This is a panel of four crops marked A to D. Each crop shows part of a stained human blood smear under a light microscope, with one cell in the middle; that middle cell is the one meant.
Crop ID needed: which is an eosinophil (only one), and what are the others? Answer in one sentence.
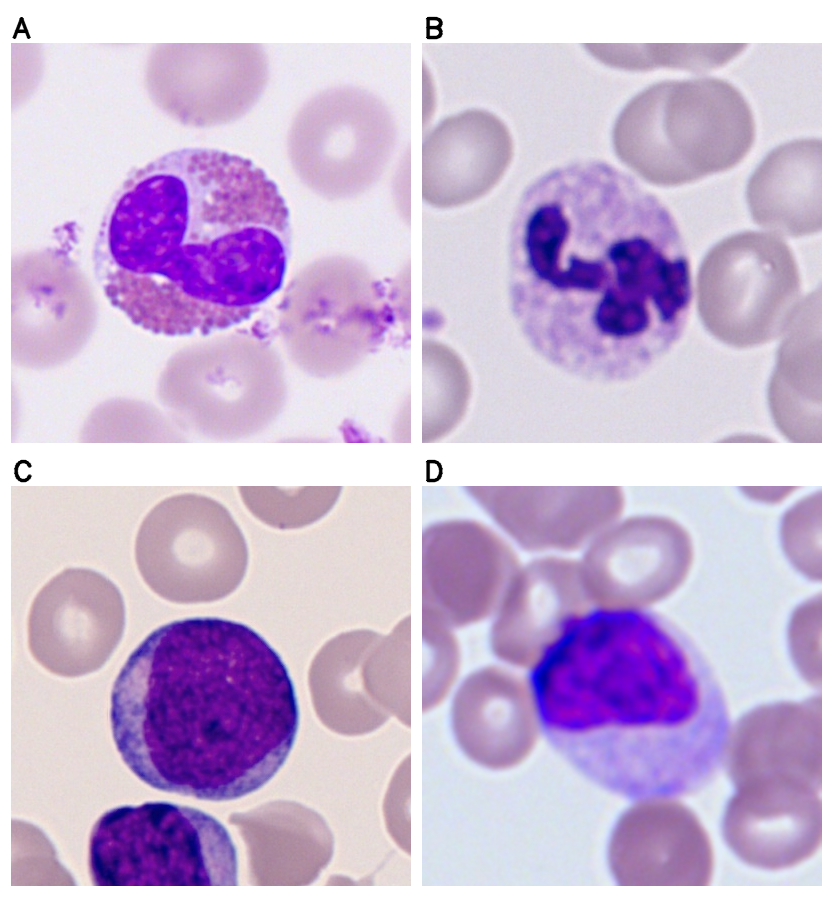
Seen in crop A is an eosinophil, while crop B is a segmented neutrophil, crop C is a myeloblast and crop D is a lymphocyte.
